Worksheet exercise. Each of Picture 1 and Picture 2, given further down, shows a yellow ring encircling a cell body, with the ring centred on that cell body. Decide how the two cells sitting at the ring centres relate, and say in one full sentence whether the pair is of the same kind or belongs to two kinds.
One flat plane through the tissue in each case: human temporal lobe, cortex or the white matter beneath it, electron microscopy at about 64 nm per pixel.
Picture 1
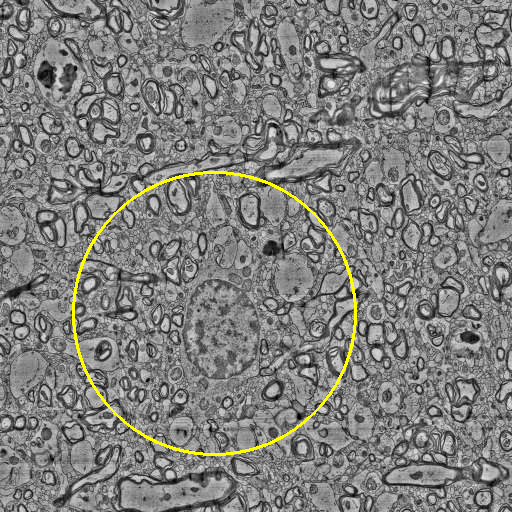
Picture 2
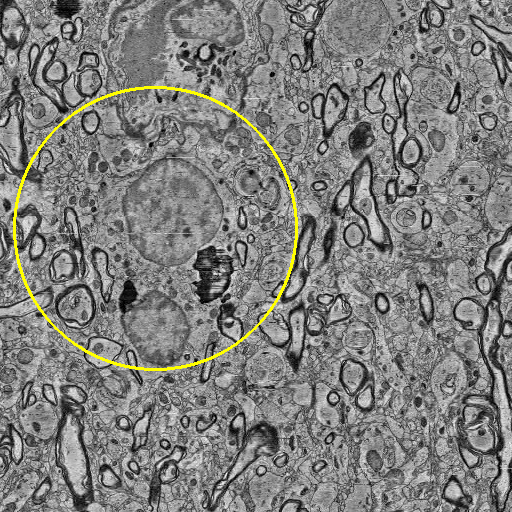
The cells at the ring centres in Picture 1 and Picture 2 are of the same kind.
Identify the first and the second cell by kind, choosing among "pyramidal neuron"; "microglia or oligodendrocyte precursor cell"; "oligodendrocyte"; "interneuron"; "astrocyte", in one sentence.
The ring centre holds an oligodendrocyte in each of the two pictures.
